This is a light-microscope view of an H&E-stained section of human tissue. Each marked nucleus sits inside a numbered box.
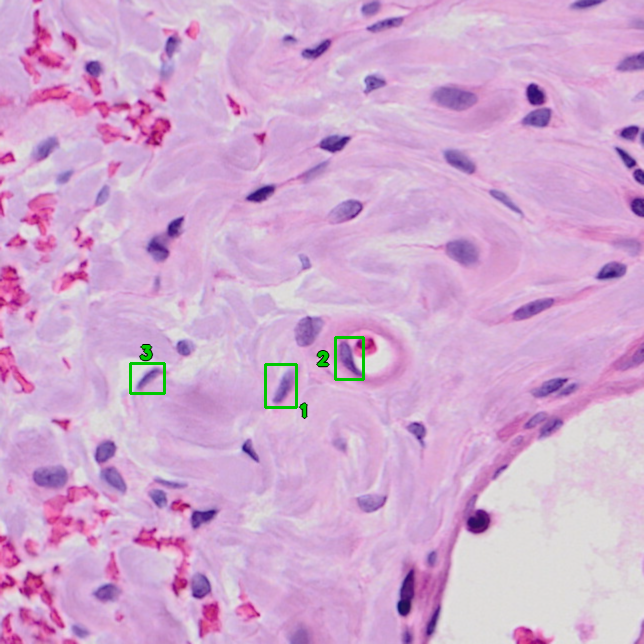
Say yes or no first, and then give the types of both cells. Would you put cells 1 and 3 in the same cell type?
Yes, note that cells 1 and 3 are both fibroblasts.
